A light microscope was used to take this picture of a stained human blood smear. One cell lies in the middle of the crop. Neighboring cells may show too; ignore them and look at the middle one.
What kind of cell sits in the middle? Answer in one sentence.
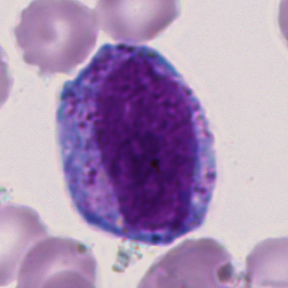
Answering briefly, the cell in the middle is a promyelocyte.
